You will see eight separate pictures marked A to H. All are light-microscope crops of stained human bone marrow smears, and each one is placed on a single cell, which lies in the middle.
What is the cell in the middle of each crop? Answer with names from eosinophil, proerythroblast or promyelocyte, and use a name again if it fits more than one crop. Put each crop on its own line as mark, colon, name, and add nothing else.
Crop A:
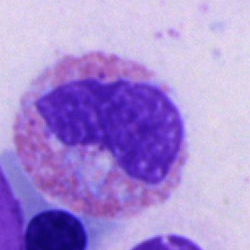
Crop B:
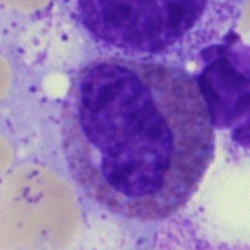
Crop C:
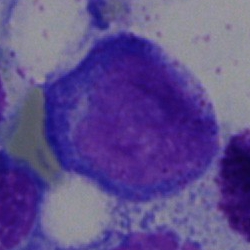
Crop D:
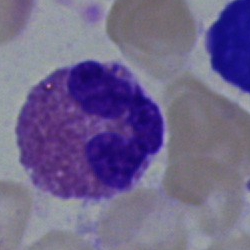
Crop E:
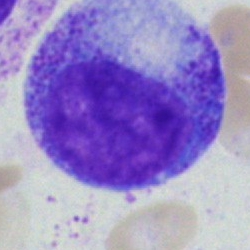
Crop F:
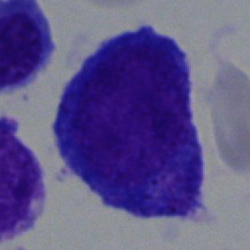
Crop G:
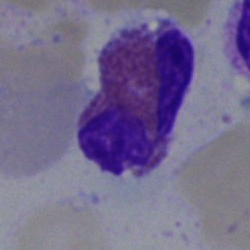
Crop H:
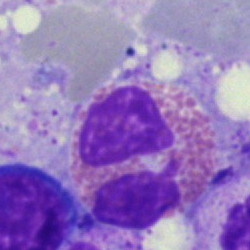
A: eosinophil
B: eosinophil
C: proerythroblast
D: eosinophil
E: promyelocyte
F: promyelocyte
G: eosinophil
H: eosinophil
